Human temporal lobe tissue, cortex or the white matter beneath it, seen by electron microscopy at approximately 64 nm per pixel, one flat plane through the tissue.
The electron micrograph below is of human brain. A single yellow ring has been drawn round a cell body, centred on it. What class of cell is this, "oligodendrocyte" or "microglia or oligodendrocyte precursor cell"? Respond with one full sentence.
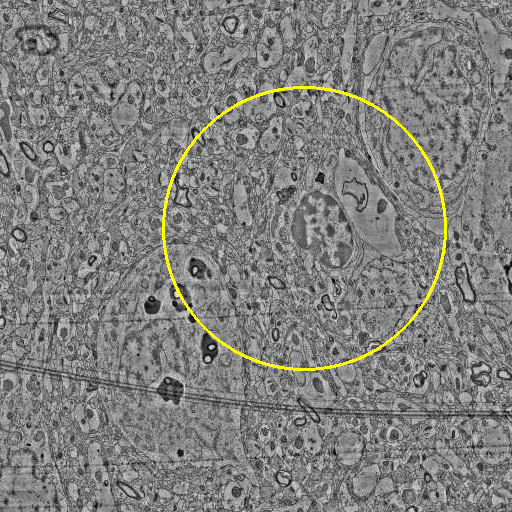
In the micrograph, the cell centred inside the yellow ring is a microglial cell or oligodendrocyte precursor cell.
